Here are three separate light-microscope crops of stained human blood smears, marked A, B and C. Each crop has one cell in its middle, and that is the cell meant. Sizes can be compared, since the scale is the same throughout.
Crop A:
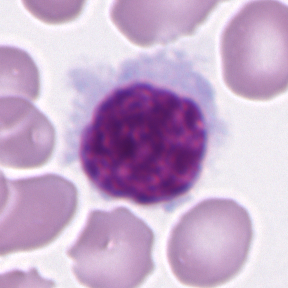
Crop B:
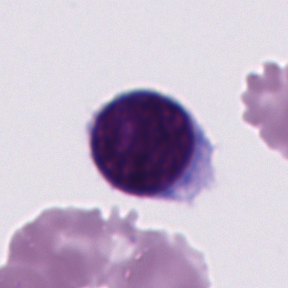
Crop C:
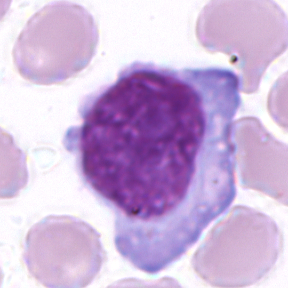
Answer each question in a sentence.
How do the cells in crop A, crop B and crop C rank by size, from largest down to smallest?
Largest first: C, A, B.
